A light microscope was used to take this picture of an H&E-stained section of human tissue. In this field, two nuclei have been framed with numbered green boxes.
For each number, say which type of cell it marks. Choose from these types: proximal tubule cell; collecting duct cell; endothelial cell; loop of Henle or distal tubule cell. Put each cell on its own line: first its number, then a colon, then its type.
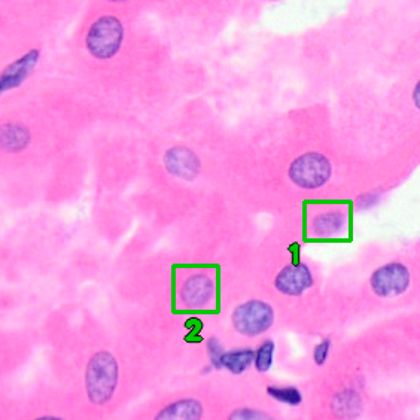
1: loop of Henle or distal tubule cell
2: proximal tubule cell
